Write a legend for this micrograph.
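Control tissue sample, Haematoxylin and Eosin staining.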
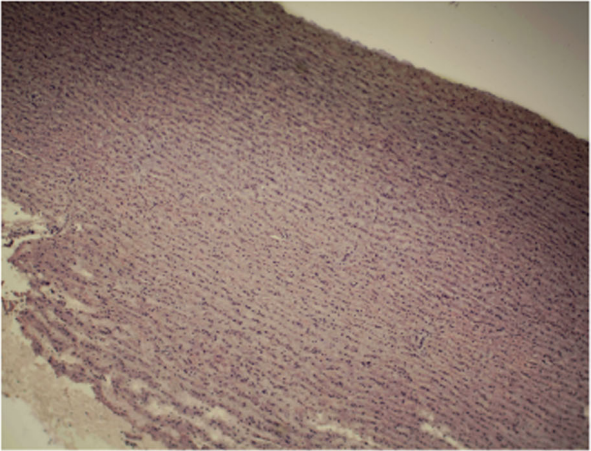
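This is a thick layered tissue wall stained pink, made of many parallel, slightly wavy lamellae. Small dark purple elongated nuclei are scattered evenly between the layers, aligned with the direction of the lamellae. The edge at lower left is looser and frayed.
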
